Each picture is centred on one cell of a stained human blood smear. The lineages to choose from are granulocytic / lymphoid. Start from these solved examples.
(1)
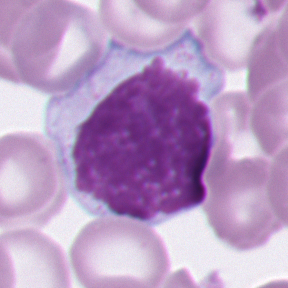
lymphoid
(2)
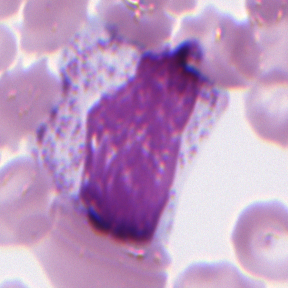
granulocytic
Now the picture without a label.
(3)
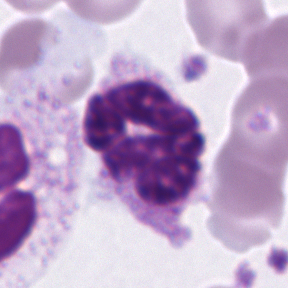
granulocytic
